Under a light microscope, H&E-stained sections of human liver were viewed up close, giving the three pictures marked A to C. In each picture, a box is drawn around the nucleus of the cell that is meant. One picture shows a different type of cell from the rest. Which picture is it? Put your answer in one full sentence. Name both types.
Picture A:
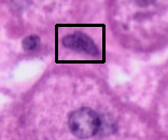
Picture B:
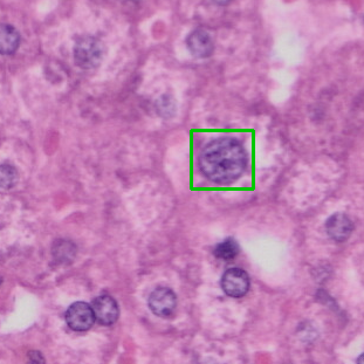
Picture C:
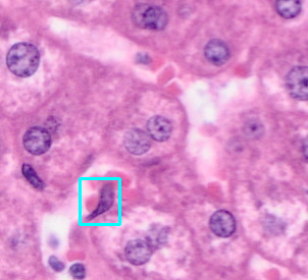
Unlike the rest, which show Kupffer cells, picture B shows a hepatocyte.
